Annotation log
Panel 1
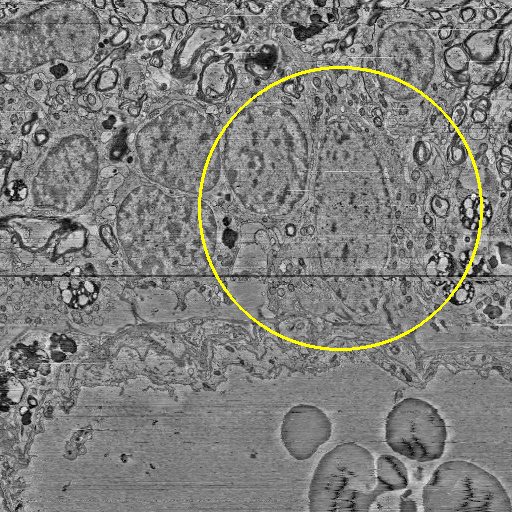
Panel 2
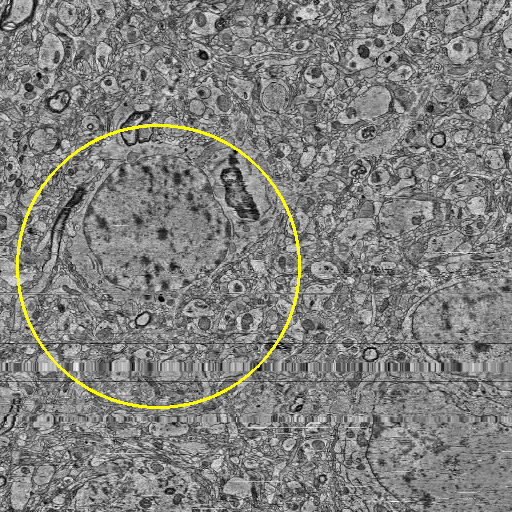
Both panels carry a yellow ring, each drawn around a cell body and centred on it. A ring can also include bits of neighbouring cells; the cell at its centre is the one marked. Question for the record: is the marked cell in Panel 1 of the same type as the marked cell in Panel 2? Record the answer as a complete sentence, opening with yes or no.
Yes, the marked cells in Panel 1 and Panel 2 are of the same type.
